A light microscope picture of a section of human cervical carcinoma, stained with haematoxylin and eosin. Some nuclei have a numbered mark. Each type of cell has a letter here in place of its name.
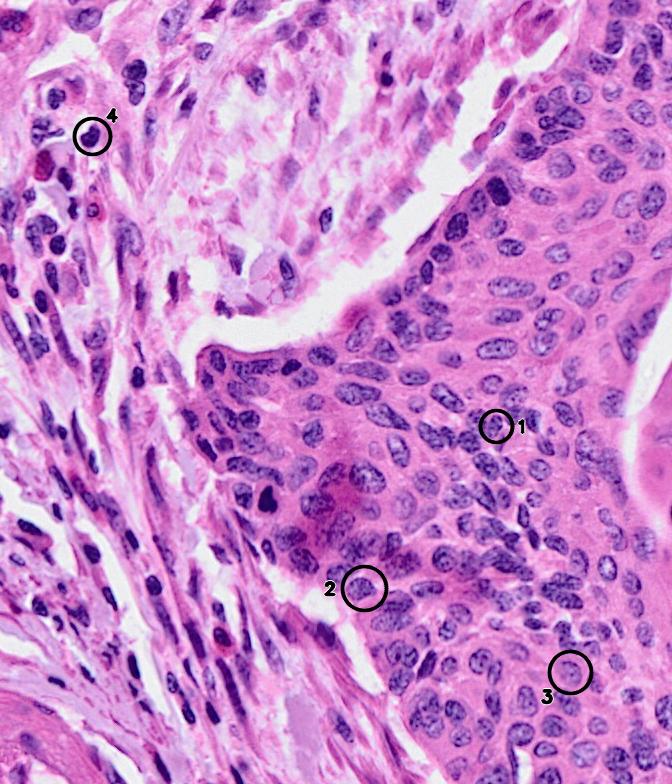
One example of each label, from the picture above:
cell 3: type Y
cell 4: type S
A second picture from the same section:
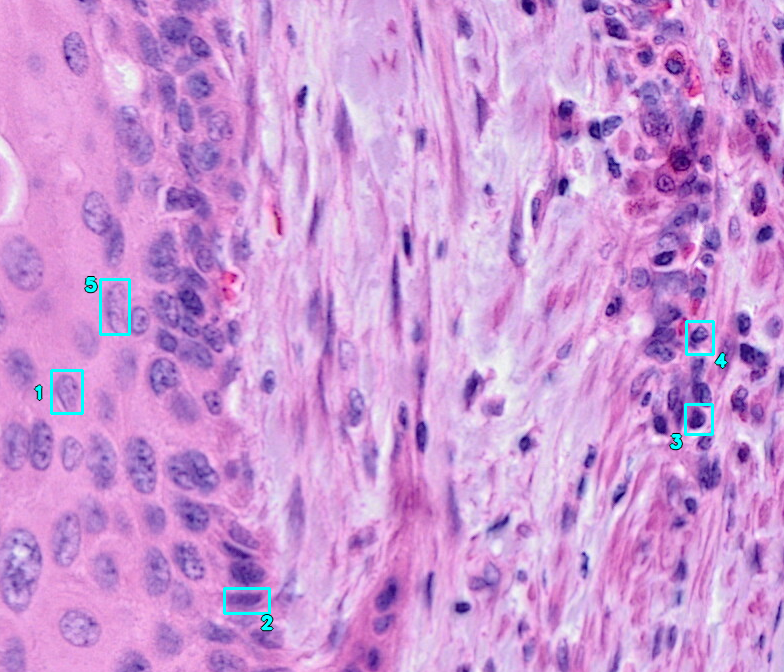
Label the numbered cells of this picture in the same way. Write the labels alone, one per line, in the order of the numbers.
type Y
type Y
type S
type S
type Y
